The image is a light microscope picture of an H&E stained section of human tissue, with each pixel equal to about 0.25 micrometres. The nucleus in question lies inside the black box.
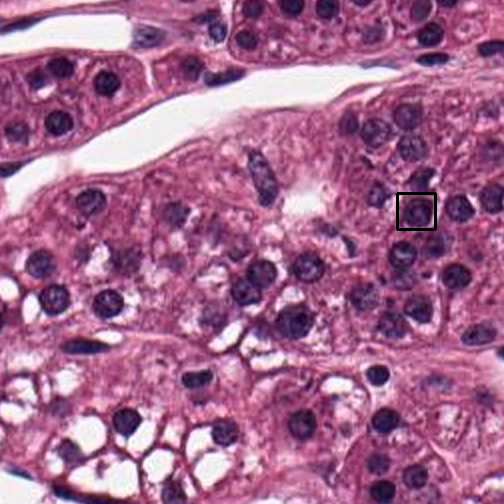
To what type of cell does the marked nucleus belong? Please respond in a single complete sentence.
Indicated by the mark is a nucleus that belongs to an adrenal cortical cell.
